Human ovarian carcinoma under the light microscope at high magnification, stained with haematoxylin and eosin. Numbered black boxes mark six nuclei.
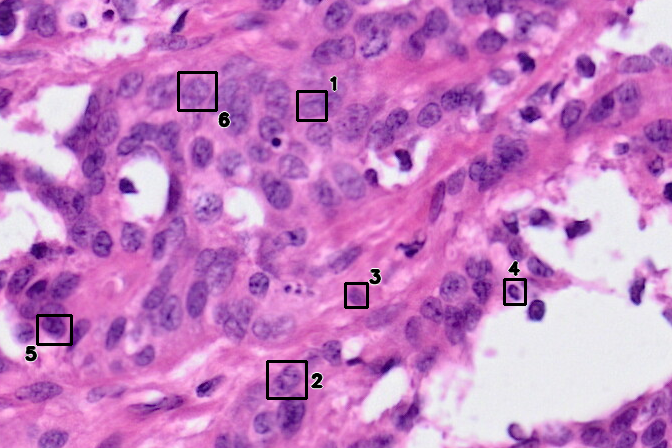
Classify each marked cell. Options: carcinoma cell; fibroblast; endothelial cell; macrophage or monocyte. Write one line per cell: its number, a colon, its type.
1: carcinoma cell
2: carcinoma cell
3: endothelial cell
4: macrophage or monocyte
5: carcinoma cell
6: carcinoma cell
